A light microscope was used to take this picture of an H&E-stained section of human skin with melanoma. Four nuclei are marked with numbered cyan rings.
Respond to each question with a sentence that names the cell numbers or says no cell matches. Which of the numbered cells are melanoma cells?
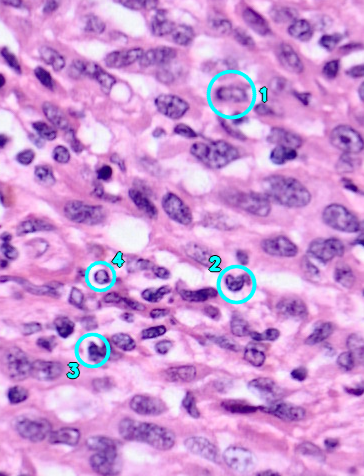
With the exception of cell 1, no marked cell is a melanoma cell.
